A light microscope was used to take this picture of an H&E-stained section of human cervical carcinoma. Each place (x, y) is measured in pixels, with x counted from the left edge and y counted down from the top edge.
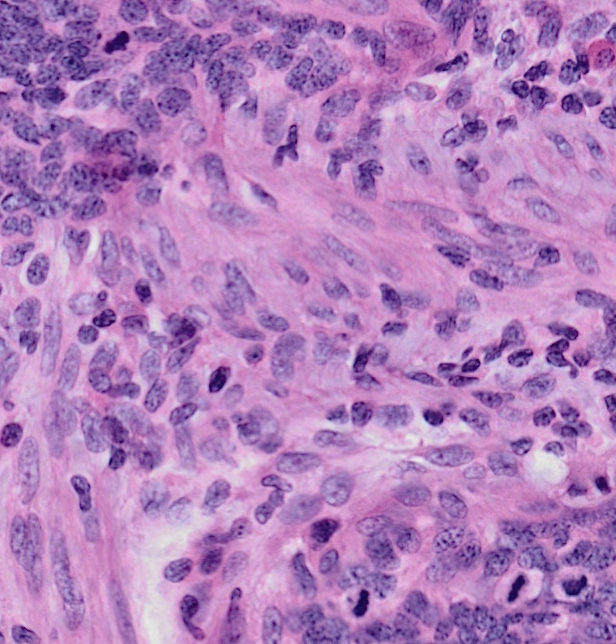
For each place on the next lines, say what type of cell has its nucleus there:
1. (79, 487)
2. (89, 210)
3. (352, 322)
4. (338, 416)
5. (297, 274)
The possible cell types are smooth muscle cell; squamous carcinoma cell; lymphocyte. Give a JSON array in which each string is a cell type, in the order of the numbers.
["lymphocyte", "squamous carcinoma cell", "smooth muscle cell", "lymphocyte", "smooth muscle cell"]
